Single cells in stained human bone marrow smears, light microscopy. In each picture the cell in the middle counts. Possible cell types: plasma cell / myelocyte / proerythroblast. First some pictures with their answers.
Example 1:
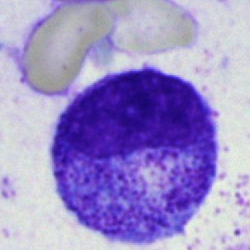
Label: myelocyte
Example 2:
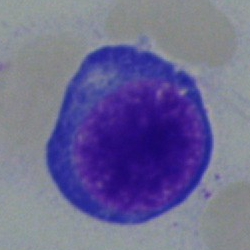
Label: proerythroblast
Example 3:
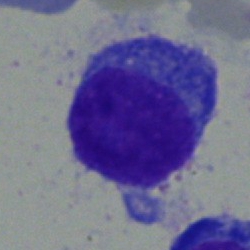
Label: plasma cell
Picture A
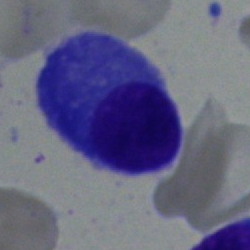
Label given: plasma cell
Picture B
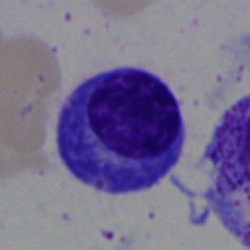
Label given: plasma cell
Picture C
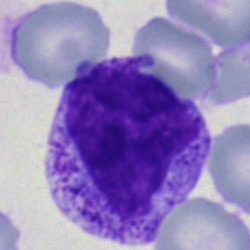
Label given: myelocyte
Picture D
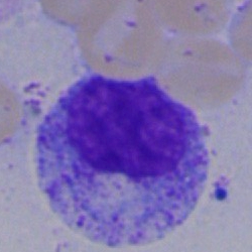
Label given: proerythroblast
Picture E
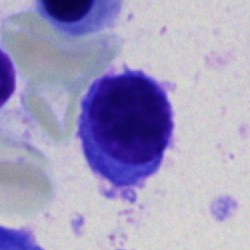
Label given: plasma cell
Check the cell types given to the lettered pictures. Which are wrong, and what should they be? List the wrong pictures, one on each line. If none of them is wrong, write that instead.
D is labelled proerythroblast; correct label: myelocyte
